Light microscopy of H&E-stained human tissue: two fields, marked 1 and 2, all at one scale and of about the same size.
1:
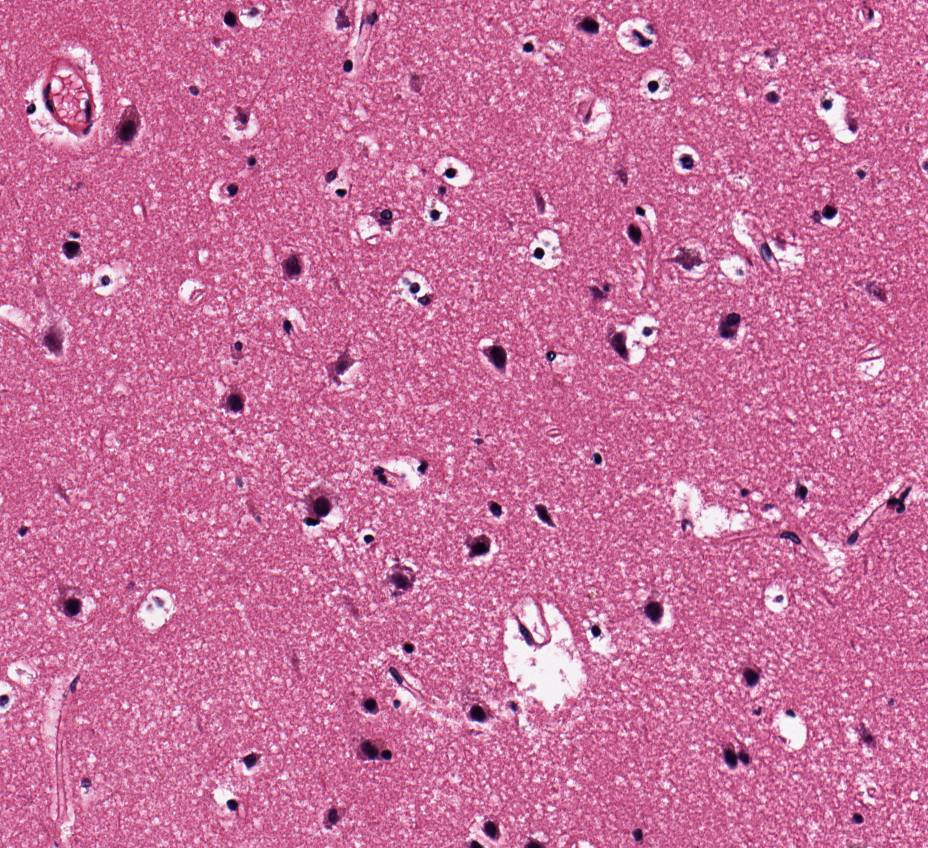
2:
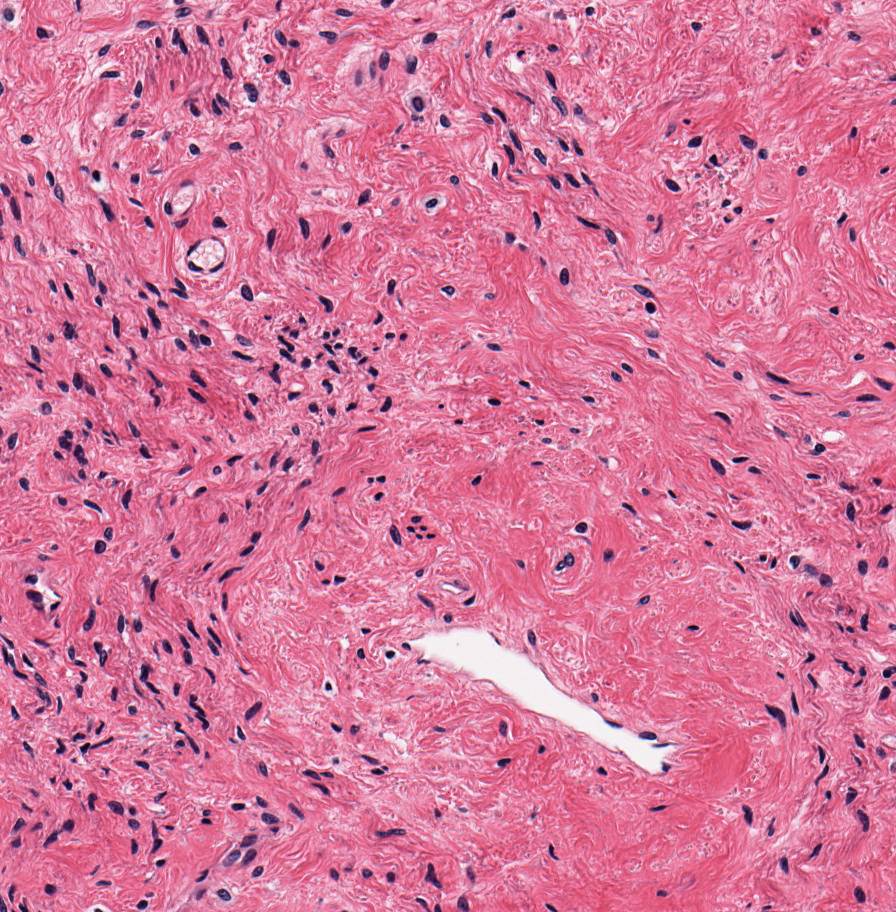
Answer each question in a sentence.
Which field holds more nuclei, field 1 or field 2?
The larger number of nuclei is in field 2.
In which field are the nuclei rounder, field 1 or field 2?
The nuclei are rounder in field 1.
